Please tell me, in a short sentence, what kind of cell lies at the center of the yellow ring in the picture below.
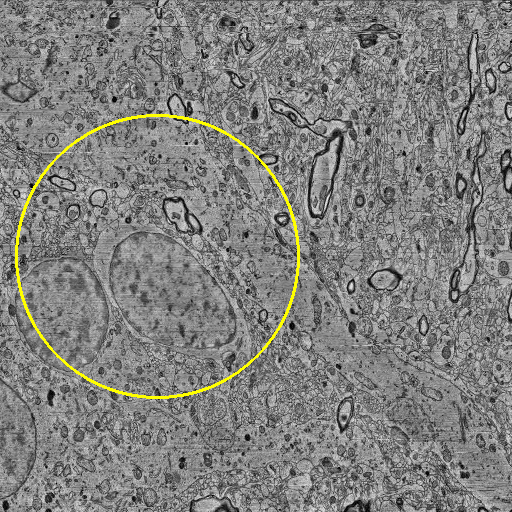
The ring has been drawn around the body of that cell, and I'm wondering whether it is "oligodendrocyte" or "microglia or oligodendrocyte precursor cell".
The cell at the center of the ring is a microglial cell or oligodendrocyte precursor cell.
